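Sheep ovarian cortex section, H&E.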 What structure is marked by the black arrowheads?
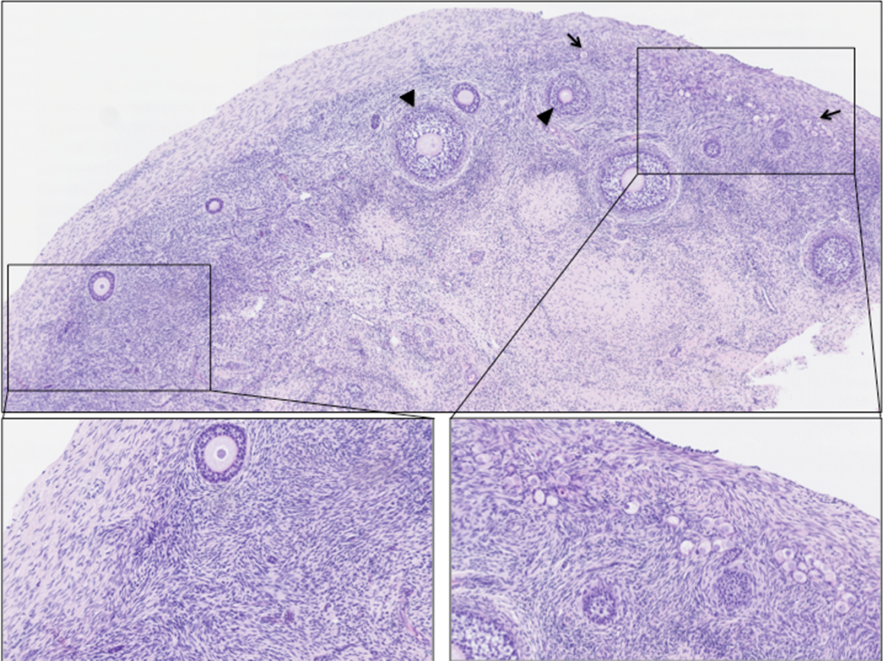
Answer: Secondary follicles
